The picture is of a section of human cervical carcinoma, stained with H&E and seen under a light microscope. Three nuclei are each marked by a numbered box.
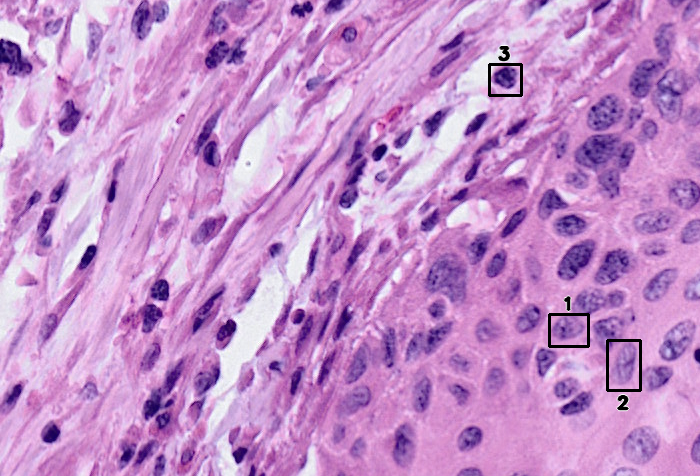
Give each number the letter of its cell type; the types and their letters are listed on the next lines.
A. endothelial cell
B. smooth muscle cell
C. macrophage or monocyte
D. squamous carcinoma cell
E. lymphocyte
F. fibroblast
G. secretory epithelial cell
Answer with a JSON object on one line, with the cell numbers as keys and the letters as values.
{"1": "D", "2": "D", "3": "E"}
